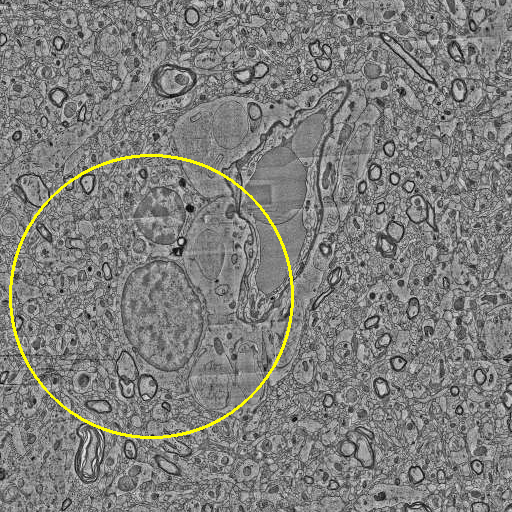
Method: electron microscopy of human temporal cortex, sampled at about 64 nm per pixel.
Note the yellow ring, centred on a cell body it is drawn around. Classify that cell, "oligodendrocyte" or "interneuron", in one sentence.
The cell the ring is centred on is an oligodendrocyte.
